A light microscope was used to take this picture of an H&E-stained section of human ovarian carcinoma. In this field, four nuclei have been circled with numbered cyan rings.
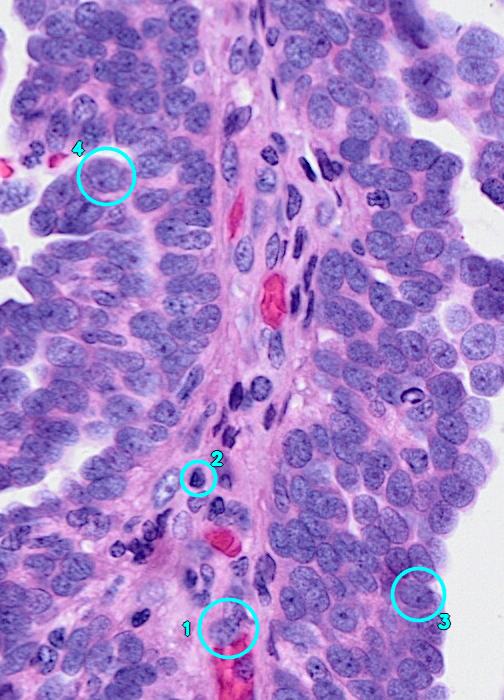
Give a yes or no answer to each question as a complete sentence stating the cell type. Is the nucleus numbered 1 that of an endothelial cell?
Yes, the cell tagged with number 1 is an endothelial cell.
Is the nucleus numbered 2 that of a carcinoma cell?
No, number 2 marks a lymphocyte rather than a carcinoma cell.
